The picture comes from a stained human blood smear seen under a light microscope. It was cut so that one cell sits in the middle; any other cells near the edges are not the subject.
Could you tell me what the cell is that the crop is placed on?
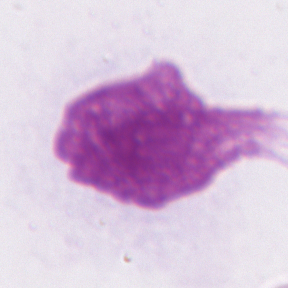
smudge cell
